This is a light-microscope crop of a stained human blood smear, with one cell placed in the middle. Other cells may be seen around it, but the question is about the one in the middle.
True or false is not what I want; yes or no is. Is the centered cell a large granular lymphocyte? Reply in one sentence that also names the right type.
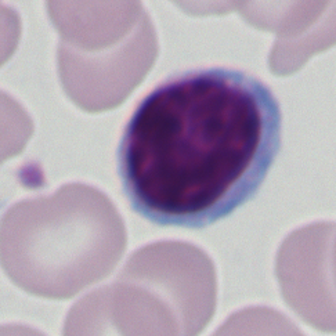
No, this is not a large granular lymphocyte at all; the cell in the middle is a typical lymphocyte.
